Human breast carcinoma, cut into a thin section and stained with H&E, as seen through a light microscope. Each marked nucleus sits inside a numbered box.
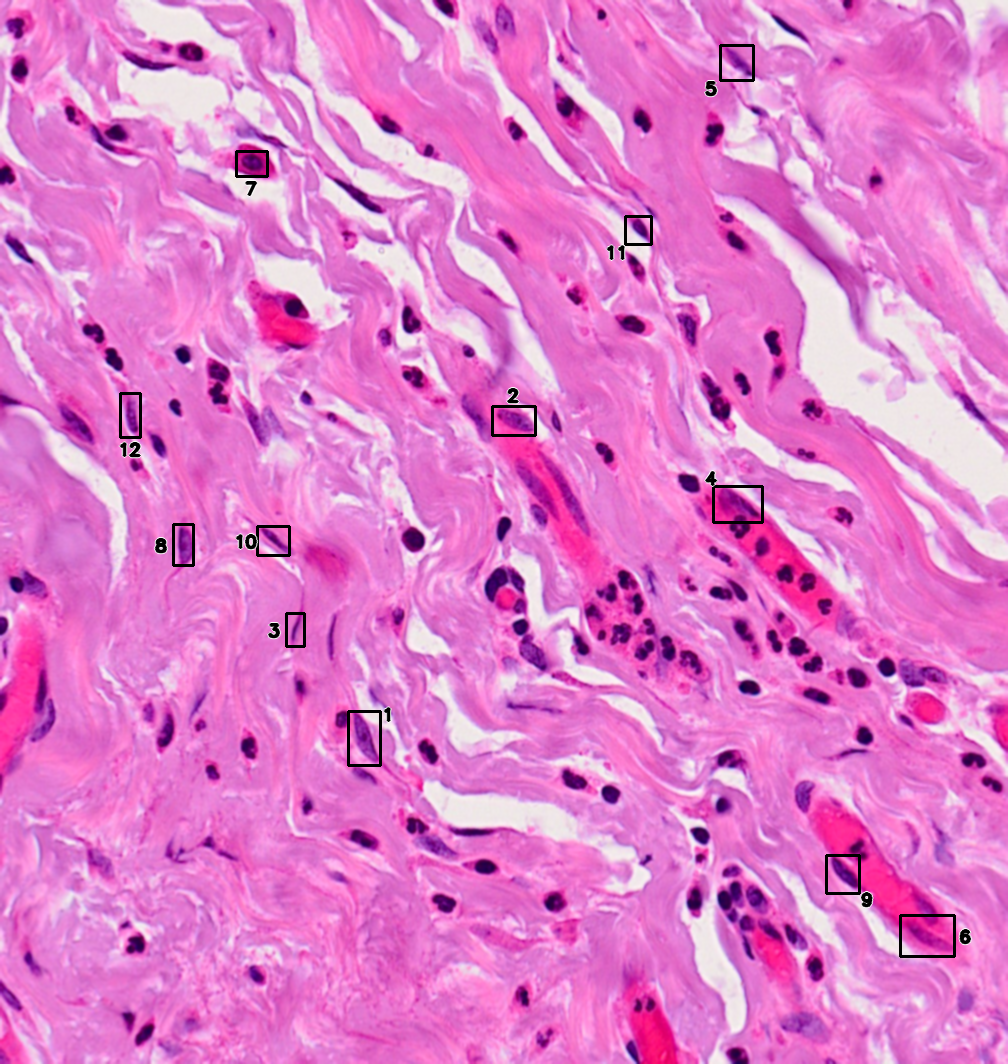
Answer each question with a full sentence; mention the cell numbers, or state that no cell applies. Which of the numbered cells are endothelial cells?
To be specific, the cells numbered 2, 4, 6 and 9 are endothelial cells.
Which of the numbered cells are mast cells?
Of the cells marked with numbers, cell 7 is the only one that is a mast cell.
